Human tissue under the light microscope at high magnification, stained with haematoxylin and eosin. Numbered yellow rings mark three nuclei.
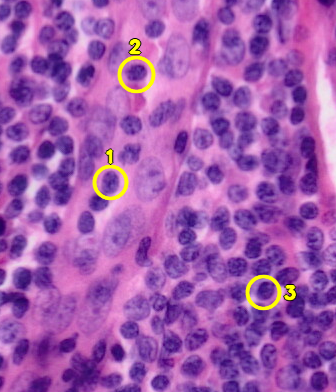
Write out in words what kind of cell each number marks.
Cell 1 is an endothelial cell, cell 2 is an endothelial cell and cell 3 is a small lymphocyte.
